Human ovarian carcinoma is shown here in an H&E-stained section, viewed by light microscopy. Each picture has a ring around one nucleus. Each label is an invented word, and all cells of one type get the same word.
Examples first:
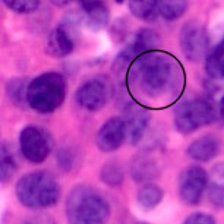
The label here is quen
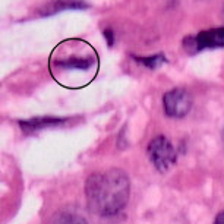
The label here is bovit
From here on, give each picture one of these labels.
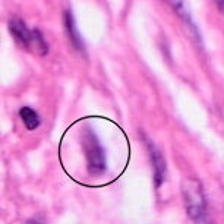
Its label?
bovit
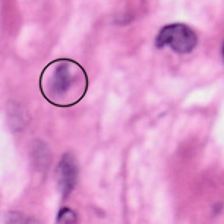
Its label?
bovit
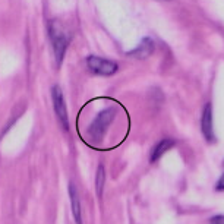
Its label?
bovit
